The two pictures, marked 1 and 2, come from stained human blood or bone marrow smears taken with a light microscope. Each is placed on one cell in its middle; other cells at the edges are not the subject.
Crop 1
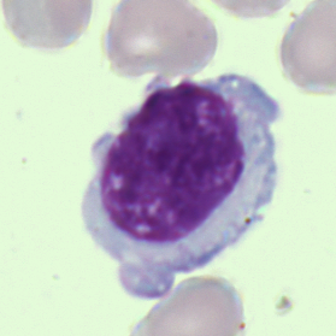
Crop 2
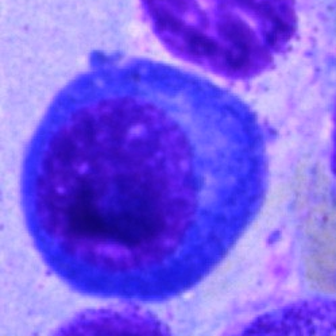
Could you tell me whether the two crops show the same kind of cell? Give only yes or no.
yes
